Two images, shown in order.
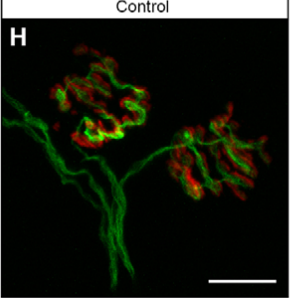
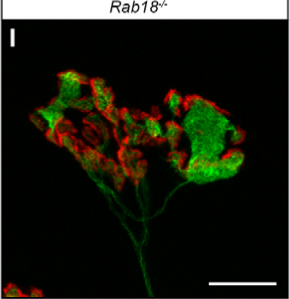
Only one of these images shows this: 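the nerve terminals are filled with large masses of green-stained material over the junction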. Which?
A: The second image.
